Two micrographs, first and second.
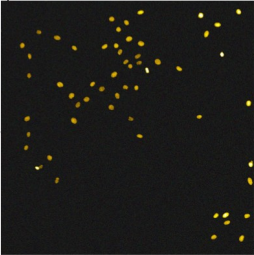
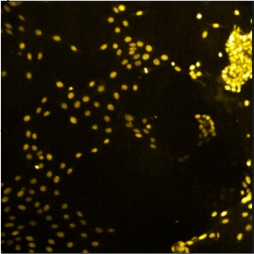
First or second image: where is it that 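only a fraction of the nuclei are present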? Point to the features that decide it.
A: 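Second image: many nuclei fill the field, including dense clusters and a bright mass at the upper right. First image: only scattered, isolated nuclei on a grey background; the dense clusters and bright mass are missing. On this evidence: the first image.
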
